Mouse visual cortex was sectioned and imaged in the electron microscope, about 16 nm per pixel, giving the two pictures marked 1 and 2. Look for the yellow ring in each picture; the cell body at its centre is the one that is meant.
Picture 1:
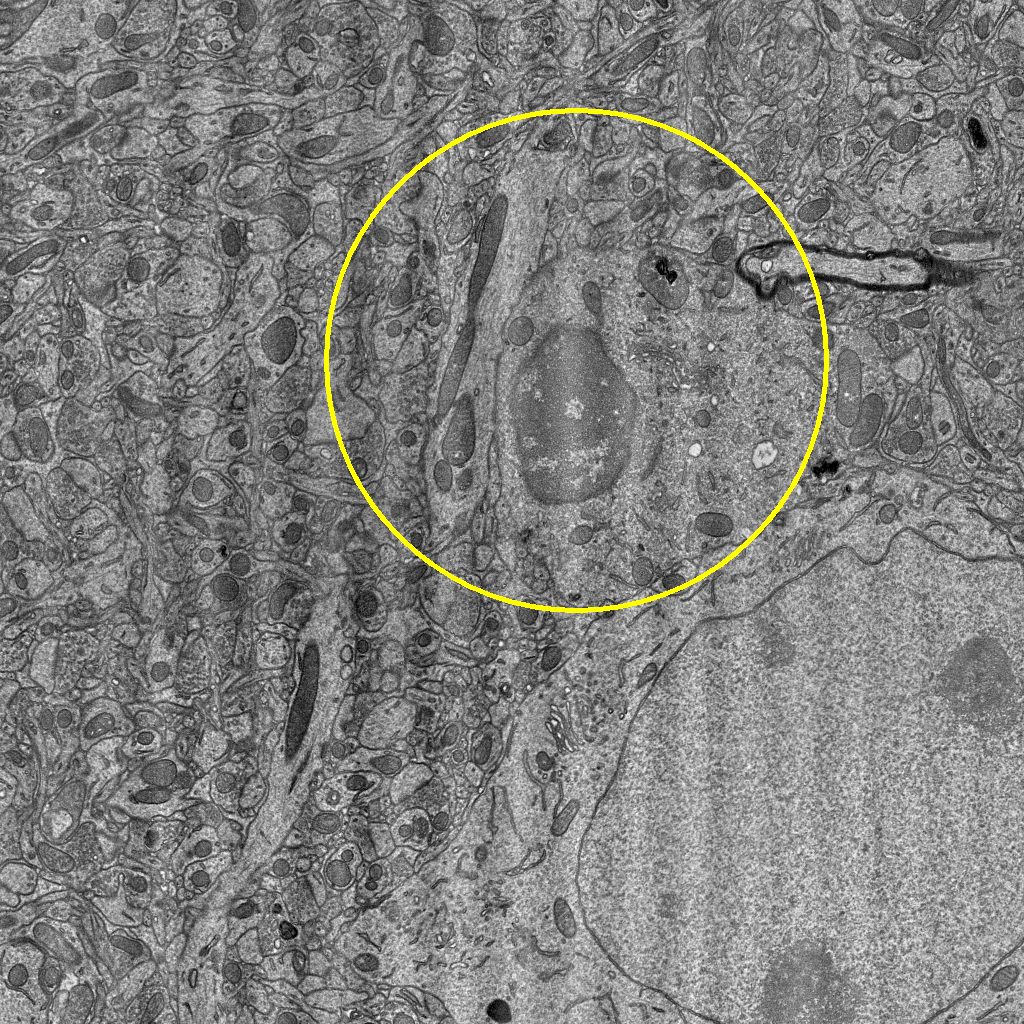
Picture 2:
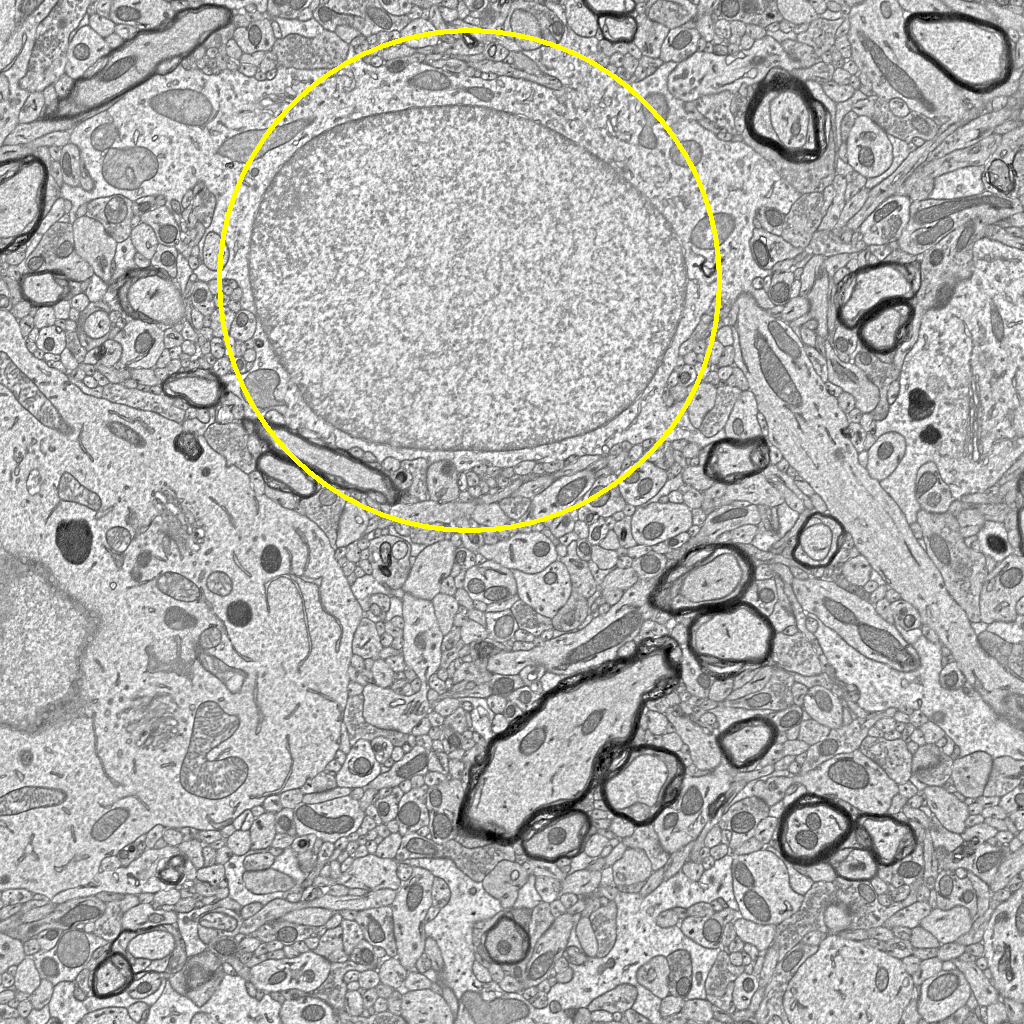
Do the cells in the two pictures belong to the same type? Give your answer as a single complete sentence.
No; the cell in picture 1 is an oligodendrocyte, while the one in picture 2 is an astrocyte.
